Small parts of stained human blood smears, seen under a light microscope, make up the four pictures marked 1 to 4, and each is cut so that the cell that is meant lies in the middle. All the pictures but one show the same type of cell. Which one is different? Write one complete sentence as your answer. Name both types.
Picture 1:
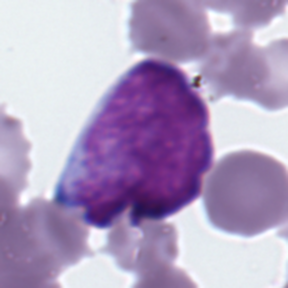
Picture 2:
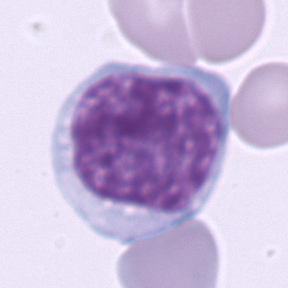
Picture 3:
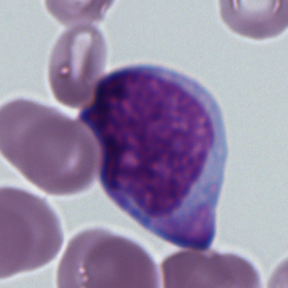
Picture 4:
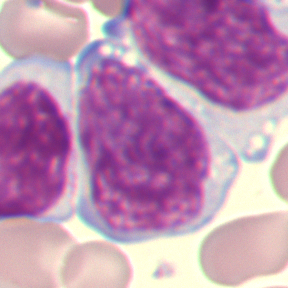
All pictures except 3 show myeloblasts; picture 3 shows an atypical promyelocyte.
